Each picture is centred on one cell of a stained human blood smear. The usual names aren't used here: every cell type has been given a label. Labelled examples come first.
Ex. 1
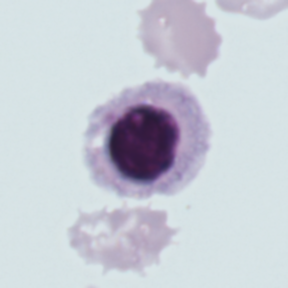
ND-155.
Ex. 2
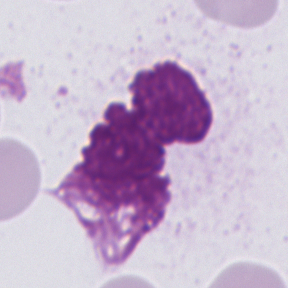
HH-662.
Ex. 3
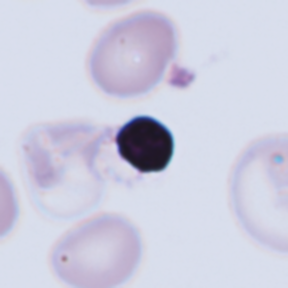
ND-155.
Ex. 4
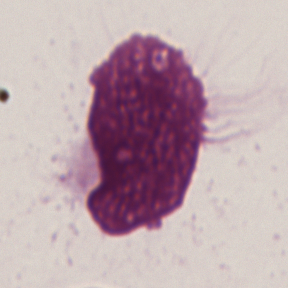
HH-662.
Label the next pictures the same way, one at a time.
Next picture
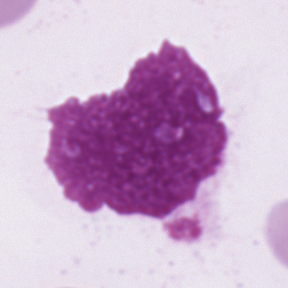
HH-662.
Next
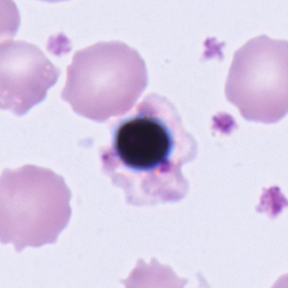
ND-155.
